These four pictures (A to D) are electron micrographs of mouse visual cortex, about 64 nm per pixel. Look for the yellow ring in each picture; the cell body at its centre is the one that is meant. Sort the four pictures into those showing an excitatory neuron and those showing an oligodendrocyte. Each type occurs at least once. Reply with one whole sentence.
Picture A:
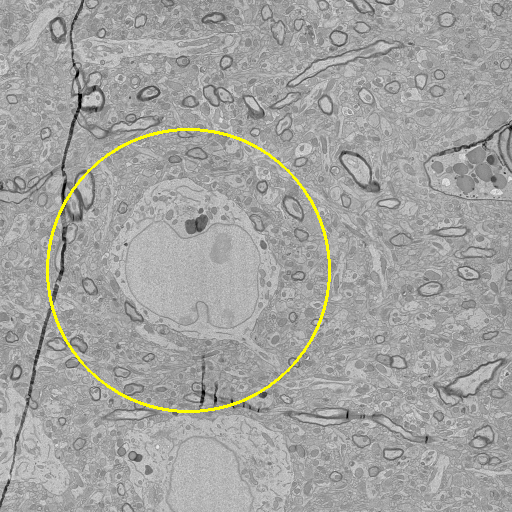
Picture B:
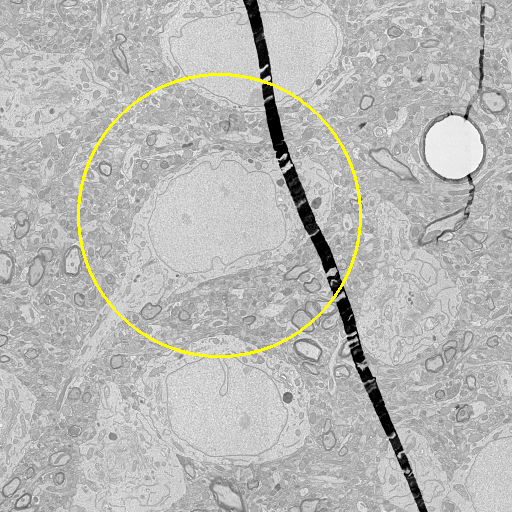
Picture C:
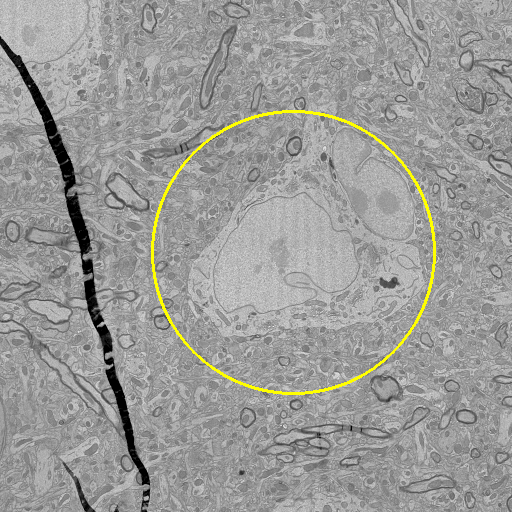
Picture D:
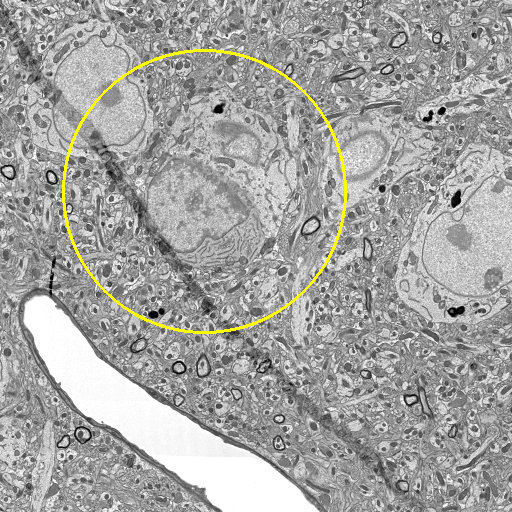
Pictures A, B and C show excitatory neurons; picture D shows an oligodendrocyte.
